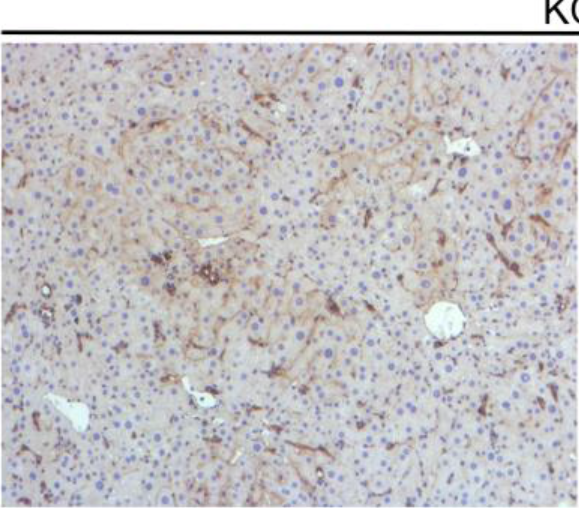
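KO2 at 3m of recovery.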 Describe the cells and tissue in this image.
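Liver parenchyma of hepatocytes in cords around scattered small vessel lumens. Hepatocytes are polygonal with round blue nuclei, their borders lined by brown stain in a lattice that is stronger in some areas than others. Small cells with intense dark brown stain form clusters and short strands within the parenchyma, most densely in a region left of centre.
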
